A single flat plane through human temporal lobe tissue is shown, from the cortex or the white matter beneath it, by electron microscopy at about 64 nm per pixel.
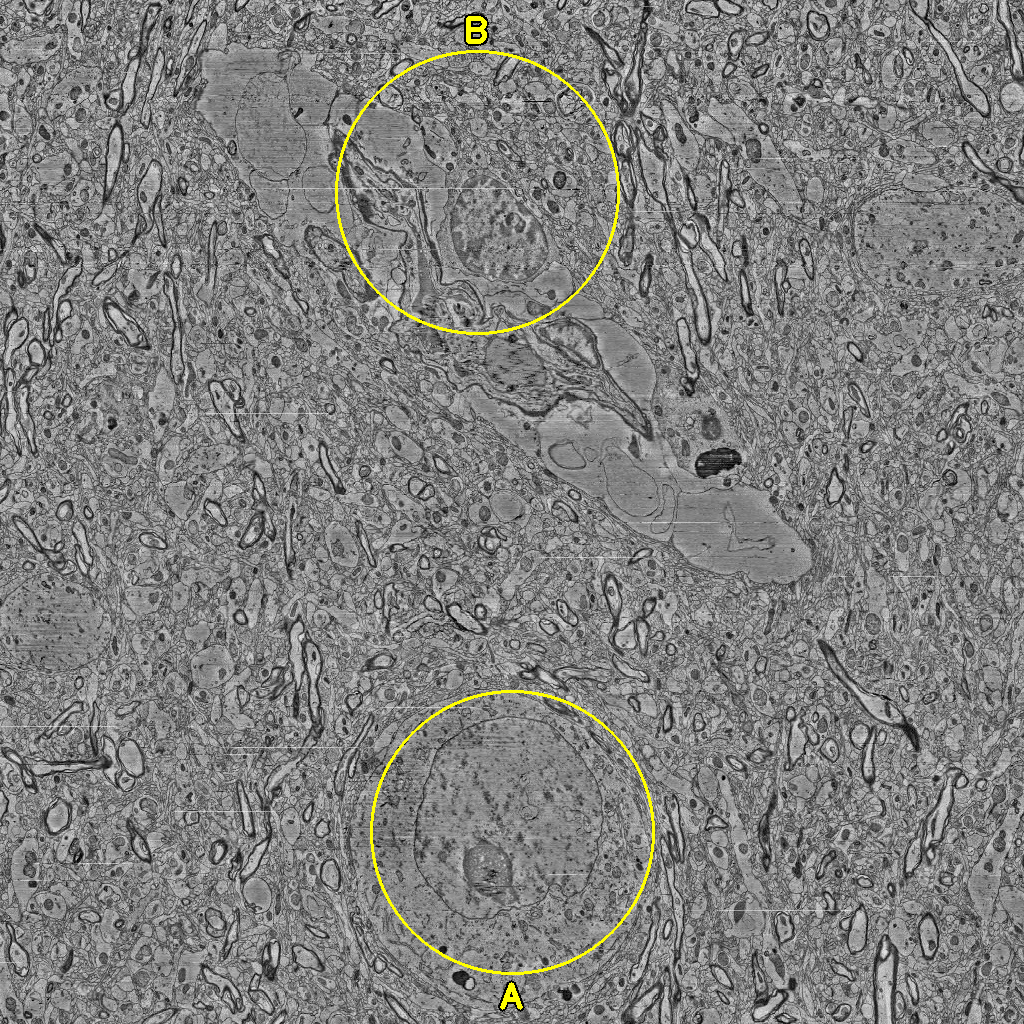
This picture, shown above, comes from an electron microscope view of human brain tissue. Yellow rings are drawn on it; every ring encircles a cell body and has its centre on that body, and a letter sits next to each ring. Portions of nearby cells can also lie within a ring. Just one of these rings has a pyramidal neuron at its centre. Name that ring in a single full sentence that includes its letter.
In the picture, ring A has the cell asked for at its centre.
